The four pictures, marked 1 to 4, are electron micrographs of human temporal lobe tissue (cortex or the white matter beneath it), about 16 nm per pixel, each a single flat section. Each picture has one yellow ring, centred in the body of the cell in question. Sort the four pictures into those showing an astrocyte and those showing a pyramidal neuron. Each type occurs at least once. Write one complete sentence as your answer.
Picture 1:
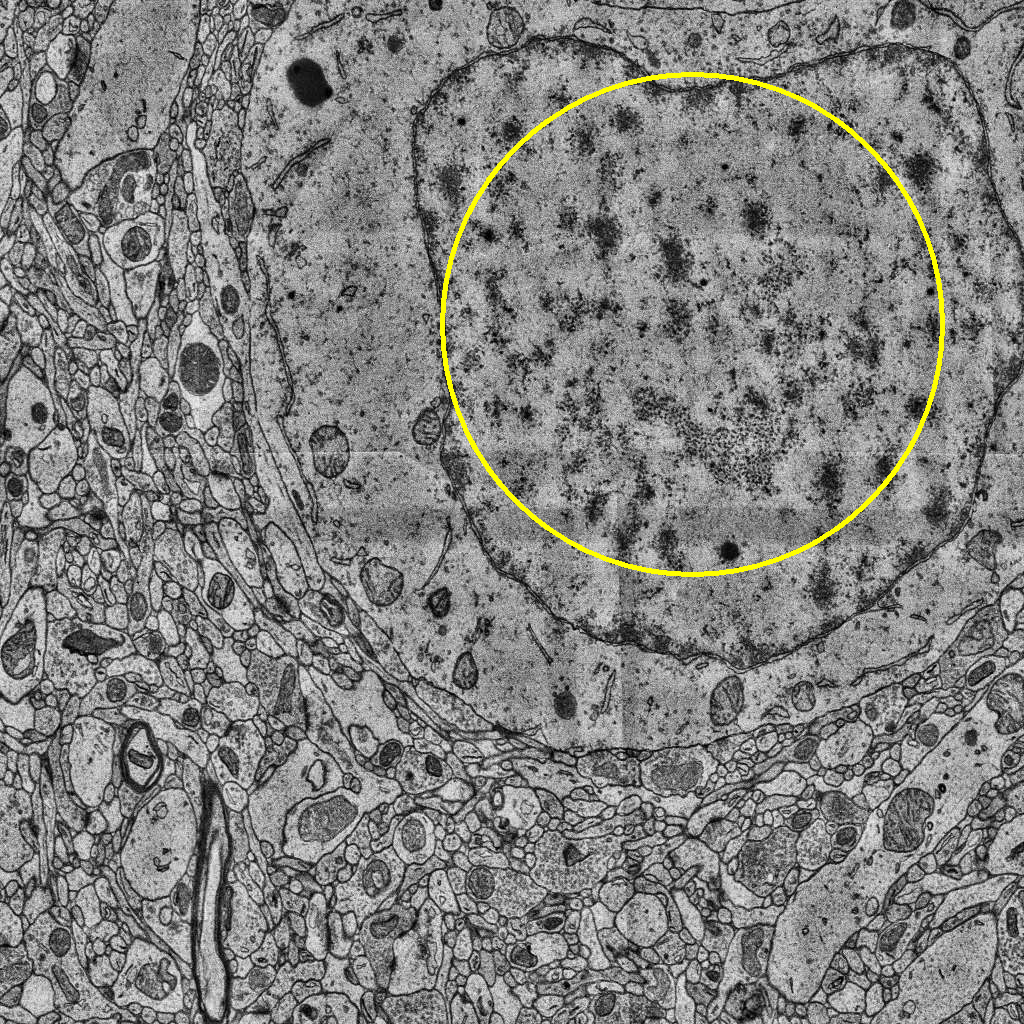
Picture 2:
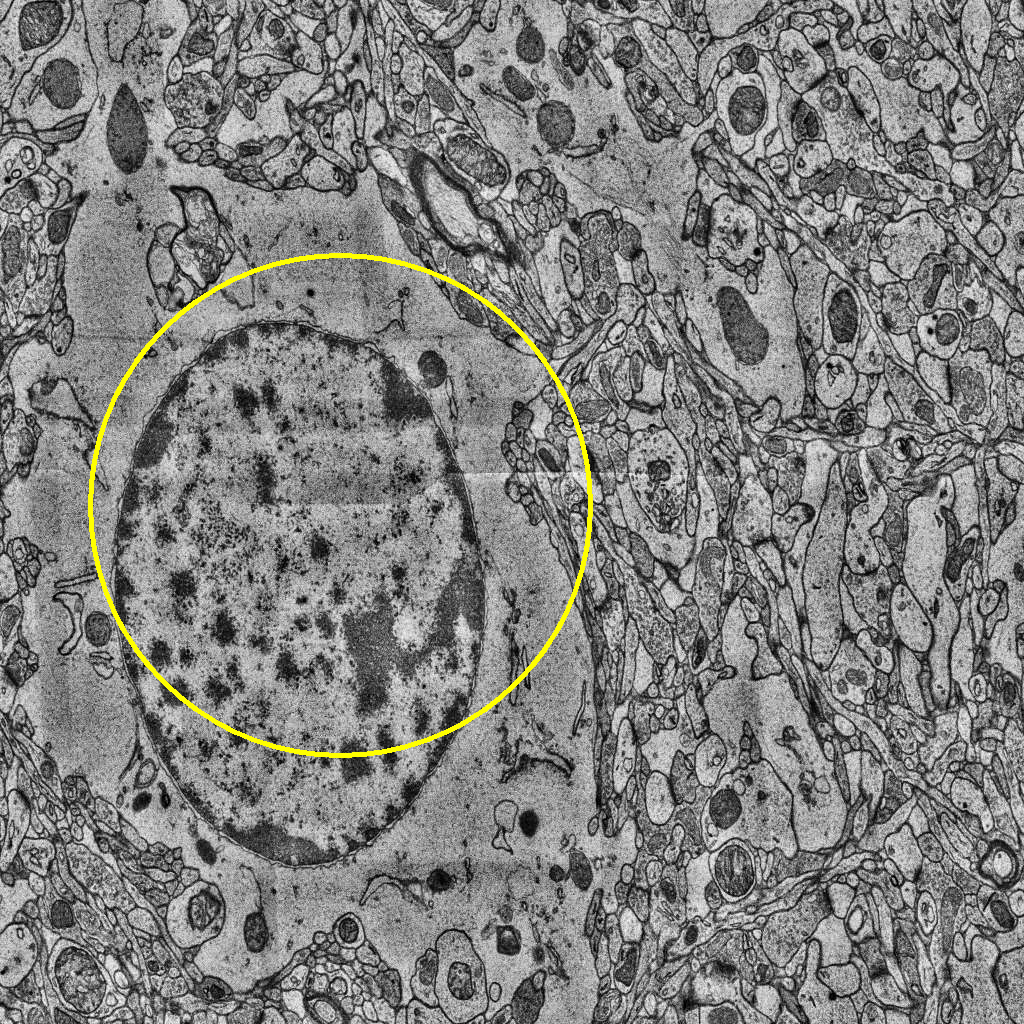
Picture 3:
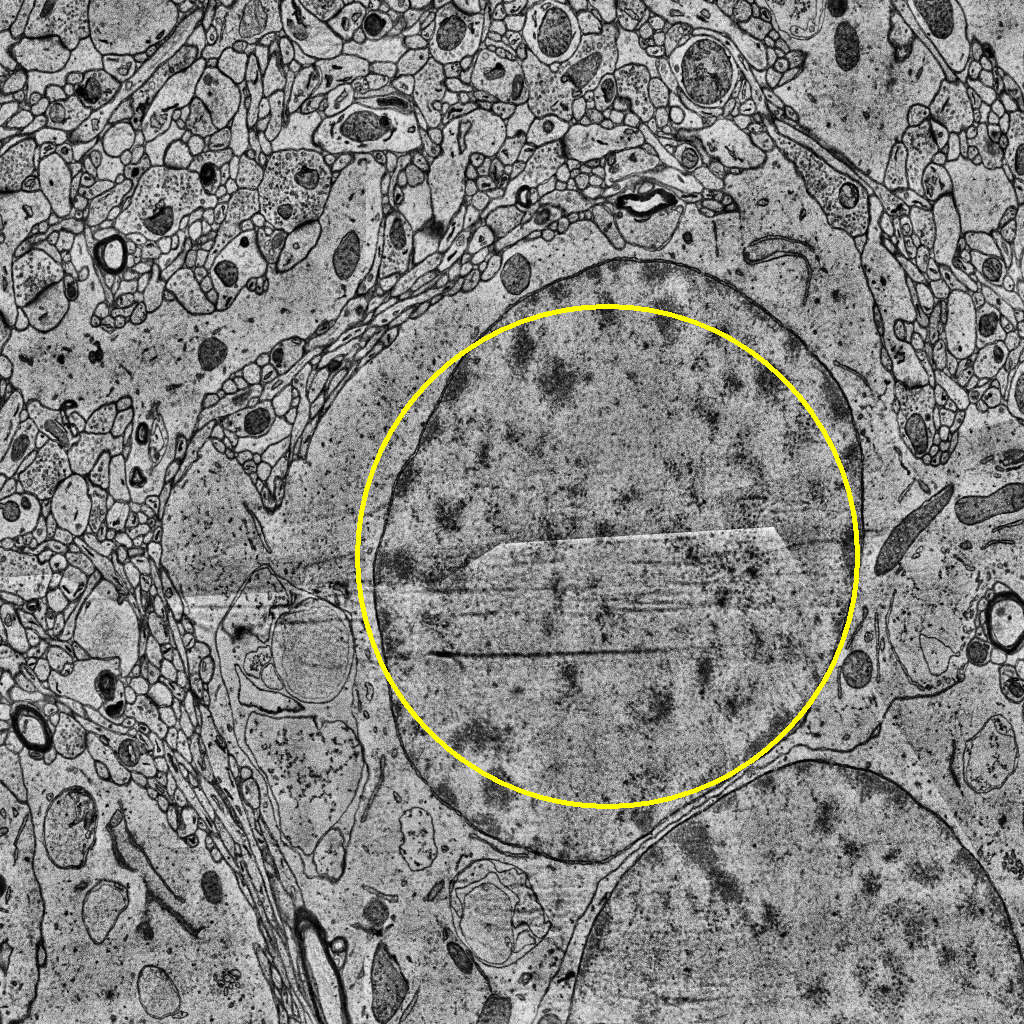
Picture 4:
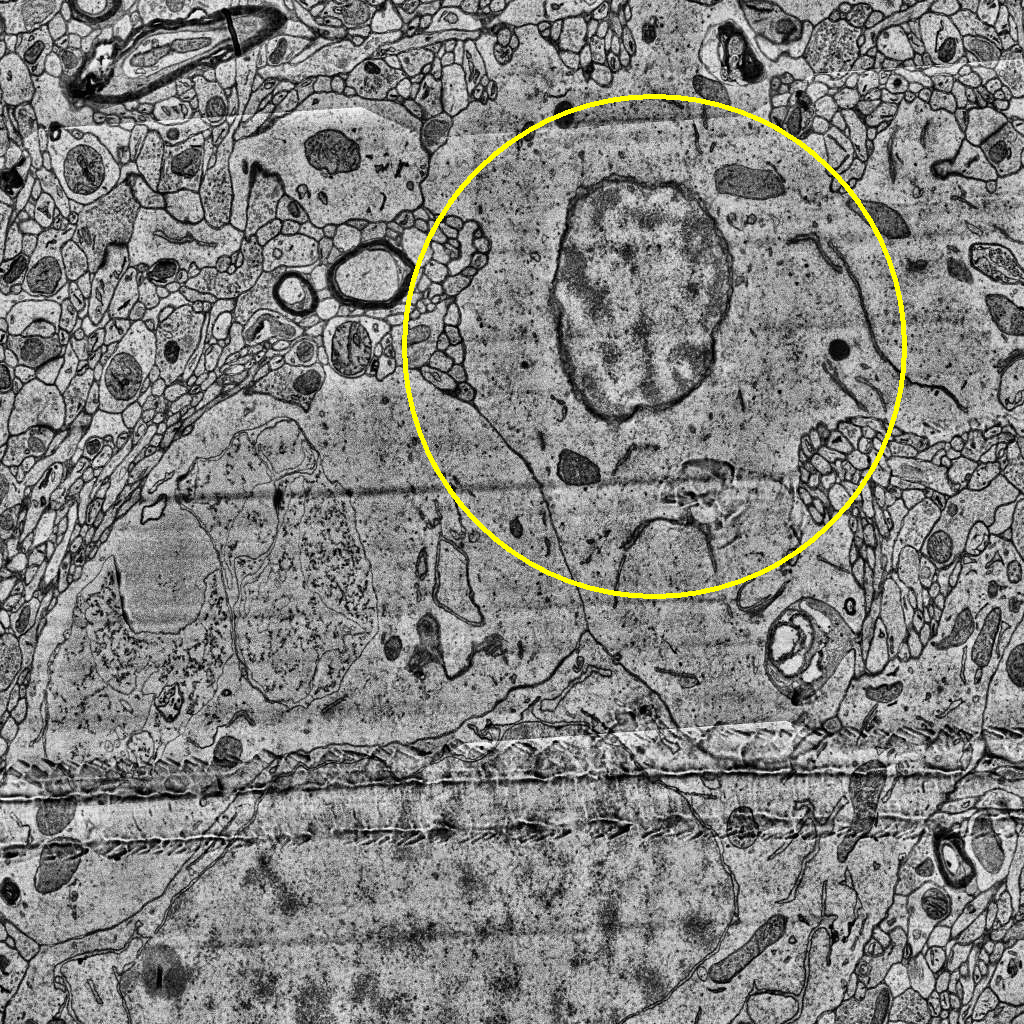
Pictures 2, 3 and 4 show astrocytes; picture 1 shows a pyramidal neuron.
